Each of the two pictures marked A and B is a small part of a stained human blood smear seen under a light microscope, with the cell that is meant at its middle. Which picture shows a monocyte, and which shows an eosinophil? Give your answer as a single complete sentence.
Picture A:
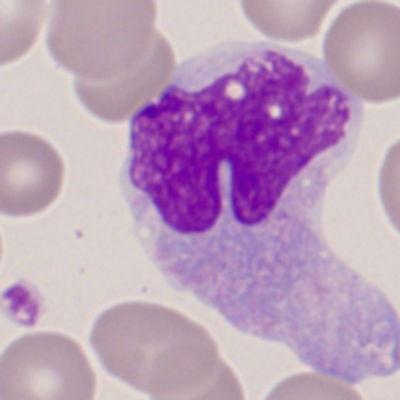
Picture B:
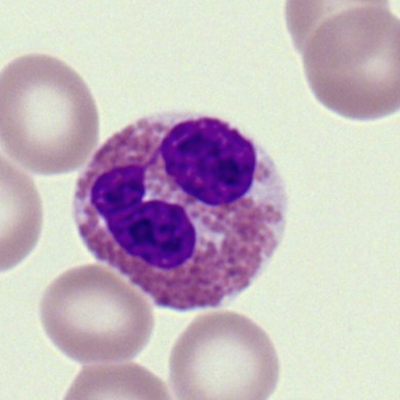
In picture A the cell is a monocyte; in picture B, an eosinophil.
